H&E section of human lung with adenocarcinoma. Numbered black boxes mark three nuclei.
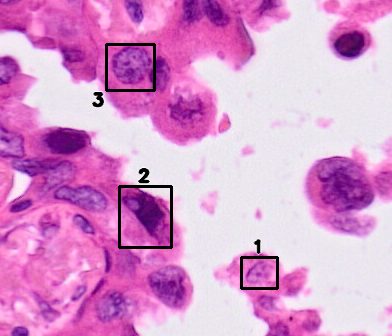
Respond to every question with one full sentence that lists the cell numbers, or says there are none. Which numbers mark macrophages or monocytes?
Response: cell 1 is a macrophage or monocyte, and no other numbered cell is.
